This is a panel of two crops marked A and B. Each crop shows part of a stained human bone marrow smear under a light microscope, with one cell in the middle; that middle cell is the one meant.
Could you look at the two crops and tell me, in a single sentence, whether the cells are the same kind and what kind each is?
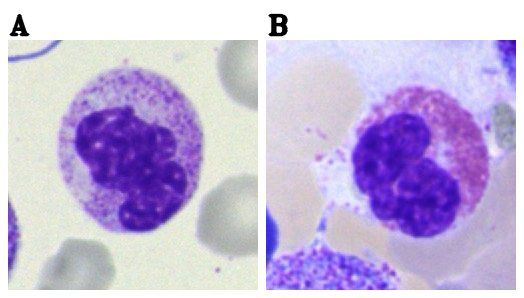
No, it is a segmented neutrophil in crop A and an eosinophil in crop B.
